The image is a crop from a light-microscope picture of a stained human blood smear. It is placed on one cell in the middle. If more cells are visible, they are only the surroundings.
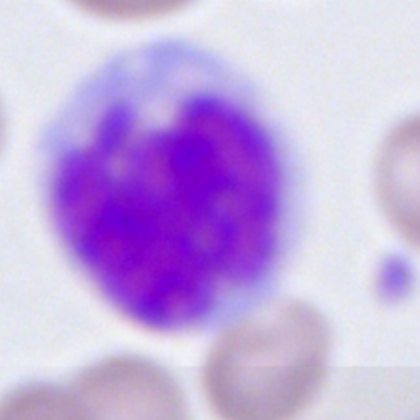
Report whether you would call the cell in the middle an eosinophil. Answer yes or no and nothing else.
no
